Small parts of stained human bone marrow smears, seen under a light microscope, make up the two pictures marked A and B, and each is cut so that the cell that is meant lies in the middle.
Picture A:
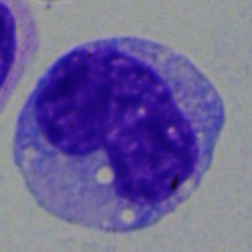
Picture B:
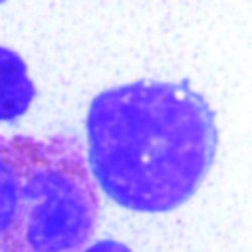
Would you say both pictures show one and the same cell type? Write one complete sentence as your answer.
No; the cell in picture A is a monocyte, while the one in picture B is a lymphocyte.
